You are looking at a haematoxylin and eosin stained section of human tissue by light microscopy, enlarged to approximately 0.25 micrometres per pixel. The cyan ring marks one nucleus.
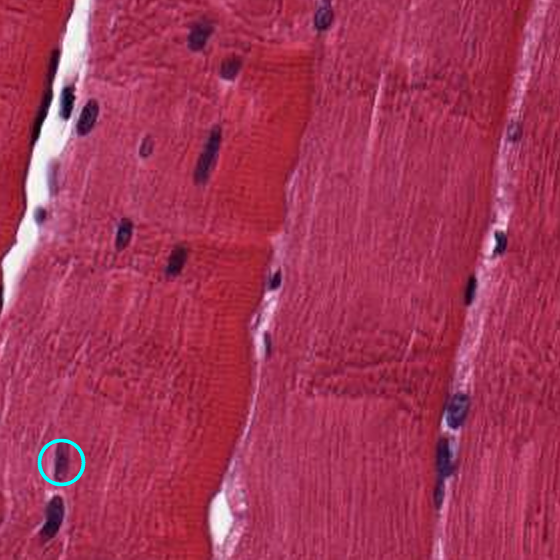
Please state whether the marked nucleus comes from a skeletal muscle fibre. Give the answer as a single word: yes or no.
yes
